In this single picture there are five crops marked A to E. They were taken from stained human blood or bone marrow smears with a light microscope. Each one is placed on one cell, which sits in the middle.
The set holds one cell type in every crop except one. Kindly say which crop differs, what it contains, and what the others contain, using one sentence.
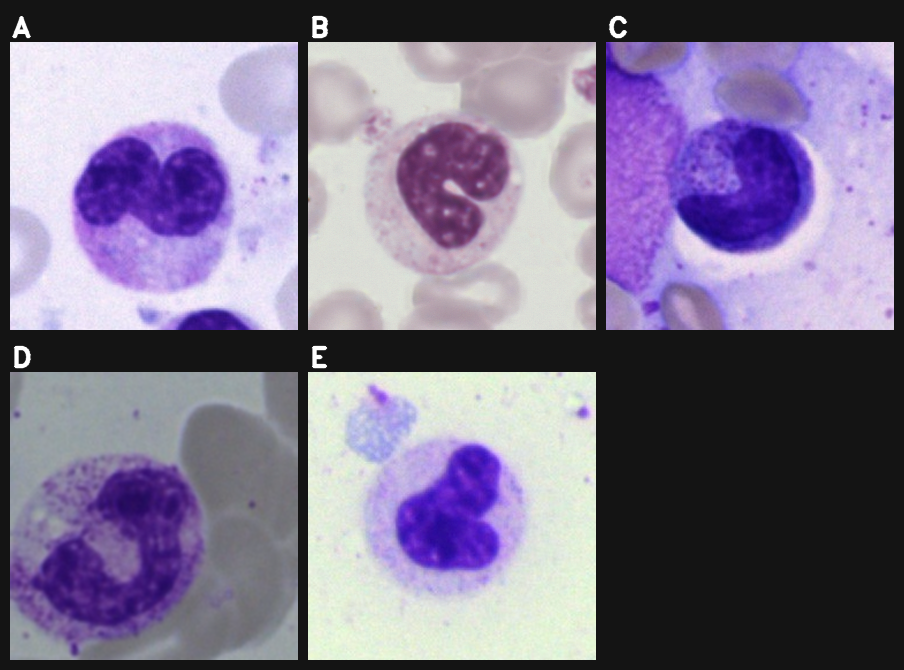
Only crop C differs, being a metamyelocyte, while the others all show band neutrophils.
